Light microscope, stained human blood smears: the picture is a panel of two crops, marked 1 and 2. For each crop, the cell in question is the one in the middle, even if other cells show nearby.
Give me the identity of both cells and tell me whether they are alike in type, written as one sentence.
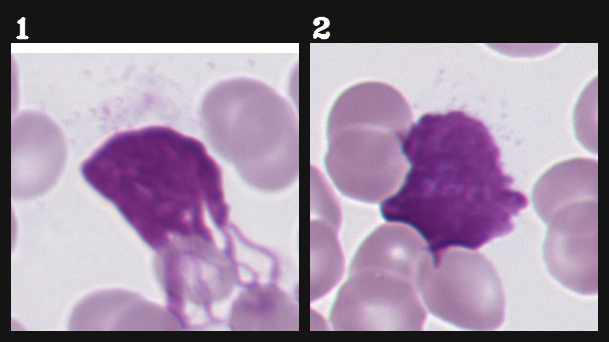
Yes, as for both crops, the cells shown are smudge cells.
